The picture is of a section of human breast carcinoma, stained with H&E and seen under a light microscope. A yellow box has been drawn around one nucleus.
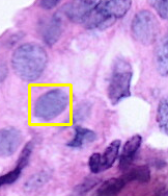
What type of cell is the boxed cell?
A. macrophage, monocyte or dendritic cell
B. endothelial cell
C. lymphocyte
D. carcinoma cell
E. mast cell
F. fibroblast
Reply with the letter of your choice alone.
D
